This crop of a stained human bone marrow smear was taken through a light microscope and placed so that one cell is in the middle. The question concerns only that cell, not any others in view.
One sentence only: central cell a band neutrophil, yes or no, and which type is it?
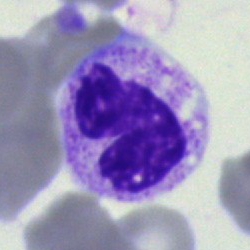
Yes, it is a band neutrophil that occupies the centre of the crop.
